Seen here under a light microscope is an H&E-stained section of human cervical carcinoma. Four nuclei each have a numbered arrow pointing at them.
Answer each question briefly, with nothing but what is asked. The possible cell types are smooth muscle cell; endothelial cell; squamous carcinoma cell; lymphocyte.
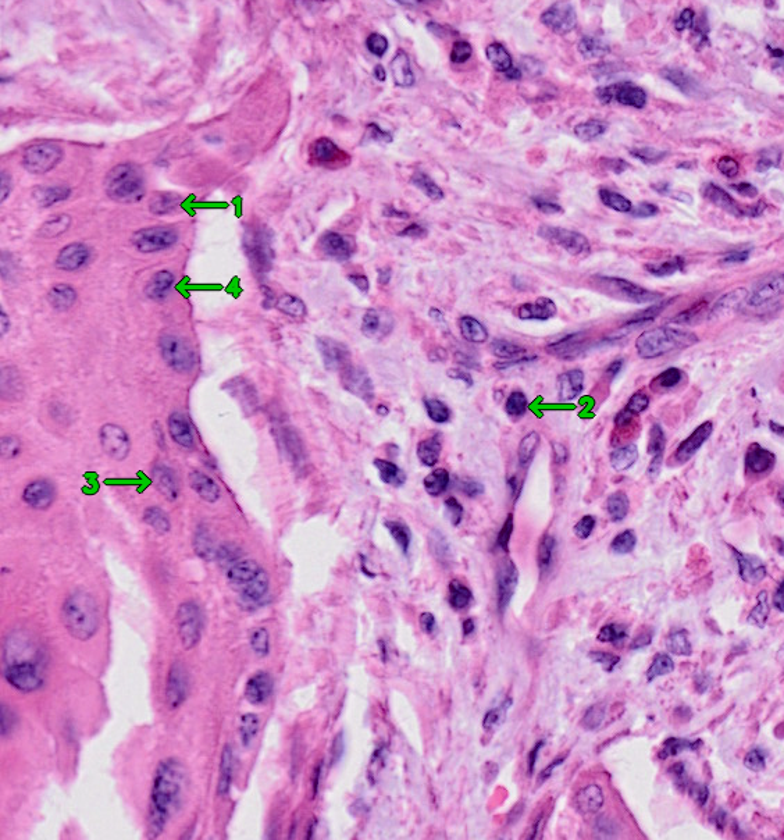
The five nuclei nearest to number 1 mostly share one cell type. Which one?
squamous carcinoma cell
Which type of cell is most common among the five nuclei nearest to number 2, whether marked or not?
endothelial cell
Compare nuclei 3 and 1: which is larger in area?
3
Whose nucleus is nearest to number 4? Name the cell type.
squamous carcinoma cell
